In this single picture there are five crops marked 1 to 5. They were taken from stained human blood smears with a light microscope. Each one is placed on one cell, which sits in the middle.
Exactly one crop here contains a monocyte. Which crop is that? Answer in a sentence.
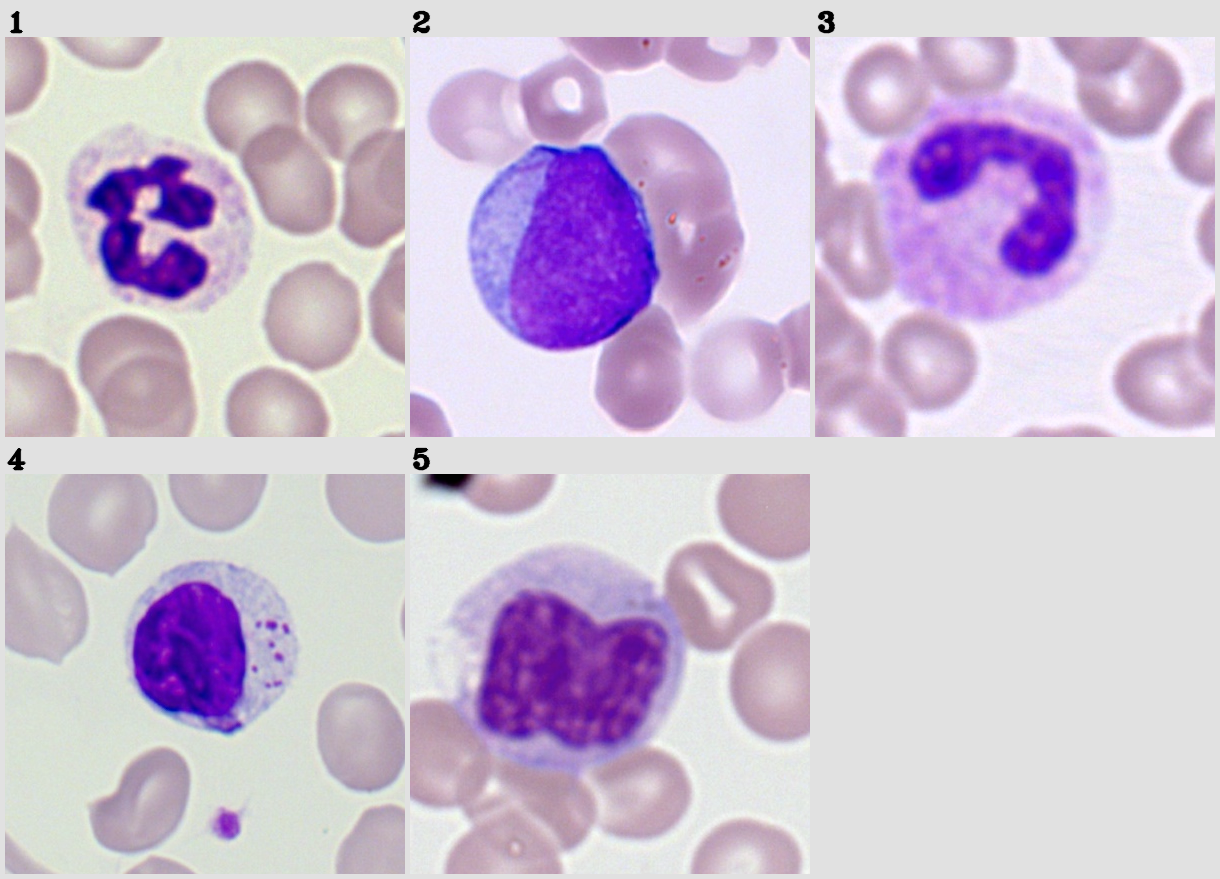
So the crop with a monocyte at its center is crop 5.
